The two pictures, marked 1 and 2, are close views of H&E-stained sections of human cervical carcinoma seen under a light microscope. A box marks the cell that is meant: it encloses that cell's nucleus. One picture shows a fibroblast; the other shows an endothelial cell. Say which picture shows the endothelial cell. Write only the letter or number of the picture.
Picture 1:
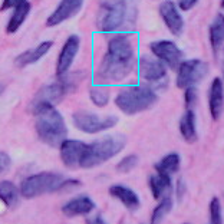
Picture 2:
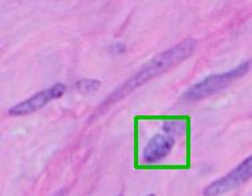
1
